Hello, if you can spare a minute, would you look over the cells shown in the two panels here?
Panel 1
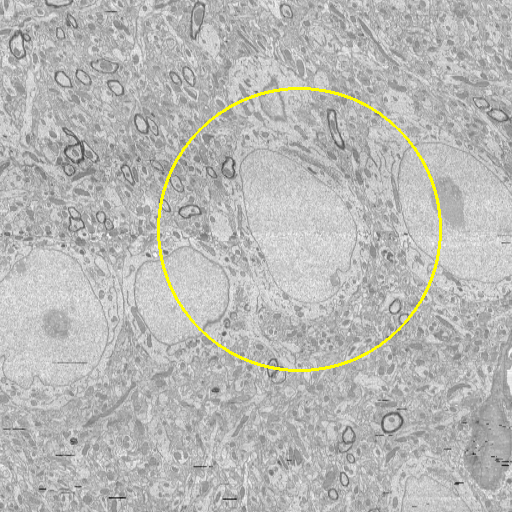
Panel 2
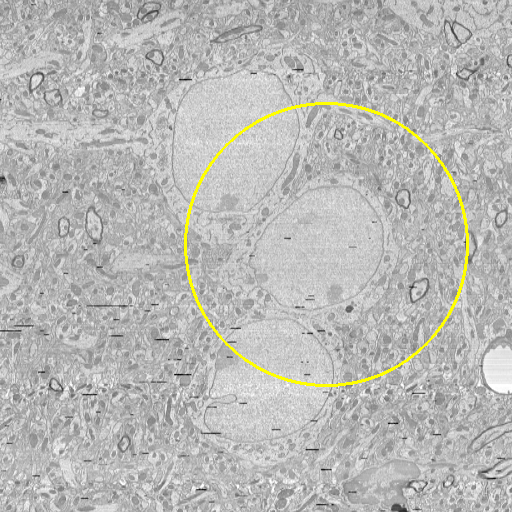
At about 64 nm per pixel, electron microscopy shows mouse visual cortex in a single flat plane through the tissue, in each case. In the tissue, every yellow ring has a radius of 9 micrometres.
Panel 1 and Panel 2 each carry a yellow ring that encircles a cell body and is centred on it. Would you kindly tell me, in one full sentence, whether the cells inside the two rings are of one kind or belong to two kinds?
The cells at the centres of the rings in Panel 1 and Panel 2 are of one kind.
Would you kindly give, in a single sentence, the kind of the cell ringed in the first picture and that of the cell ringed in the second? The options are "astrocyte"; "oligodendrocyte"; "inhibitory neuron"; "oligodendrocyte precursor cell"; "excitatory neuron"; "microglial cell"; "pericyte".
Both rings mark an excitatory neuron, one in each picture.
